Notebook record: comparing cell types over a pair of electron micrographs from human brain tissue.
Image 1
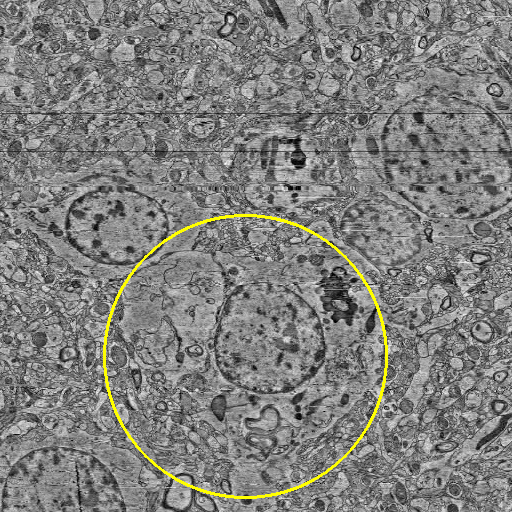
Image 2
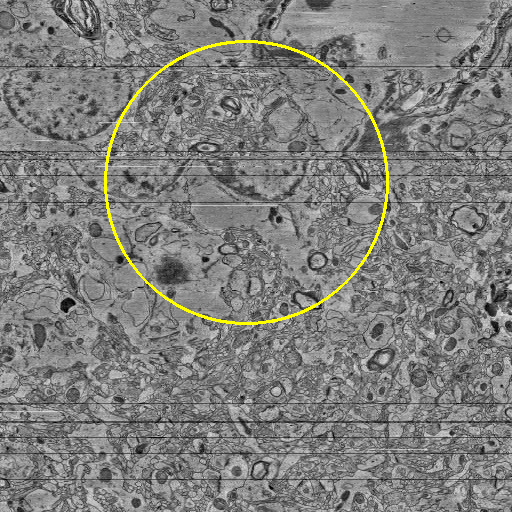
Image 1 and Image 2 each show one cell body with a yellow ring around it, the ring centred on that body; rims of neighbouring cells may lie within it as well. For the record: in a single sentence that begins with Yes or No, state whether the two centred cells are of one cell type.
Yes, one cell type is shared by the centred cells of Image 1 and Image 2.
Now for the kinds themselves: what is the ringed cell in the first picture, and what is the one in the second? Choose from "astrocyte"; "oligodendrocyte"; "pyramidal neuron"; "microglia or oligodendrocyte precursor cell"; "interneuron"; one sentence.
Both pictures show an astrocyte at the centre of the ring.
